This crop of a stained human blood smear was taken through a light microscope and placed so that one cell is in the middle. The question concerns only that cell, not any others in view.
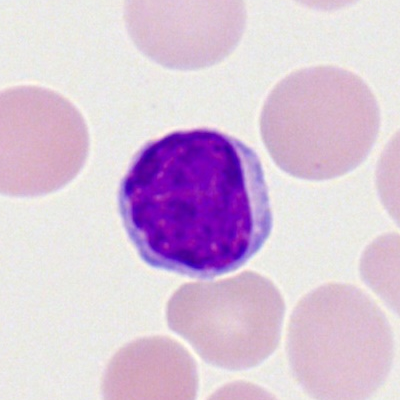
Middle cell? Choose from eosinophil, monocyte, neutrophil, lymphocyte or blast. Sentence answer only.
Answering briefly, the cell in the middle is a lymphocyte.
